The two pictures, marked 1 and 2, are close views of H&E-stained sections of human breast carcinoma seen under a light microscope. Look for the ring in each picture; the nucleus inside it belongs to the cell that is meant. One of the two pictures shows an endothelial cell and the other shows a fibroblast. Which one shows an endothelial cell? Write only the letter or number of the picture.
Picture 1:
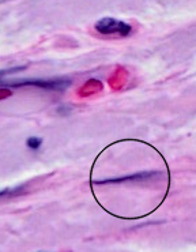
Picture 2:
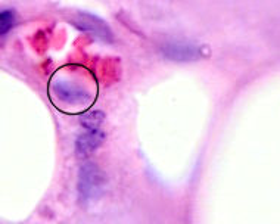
2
